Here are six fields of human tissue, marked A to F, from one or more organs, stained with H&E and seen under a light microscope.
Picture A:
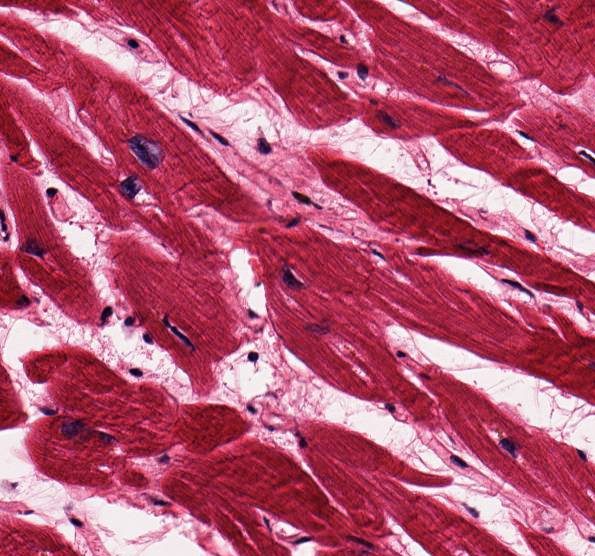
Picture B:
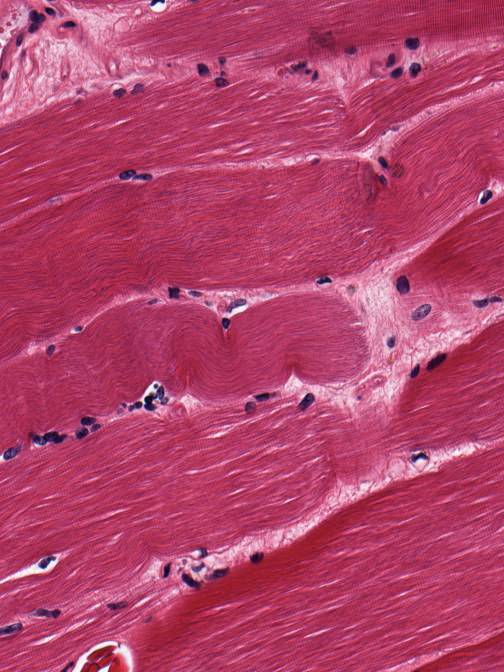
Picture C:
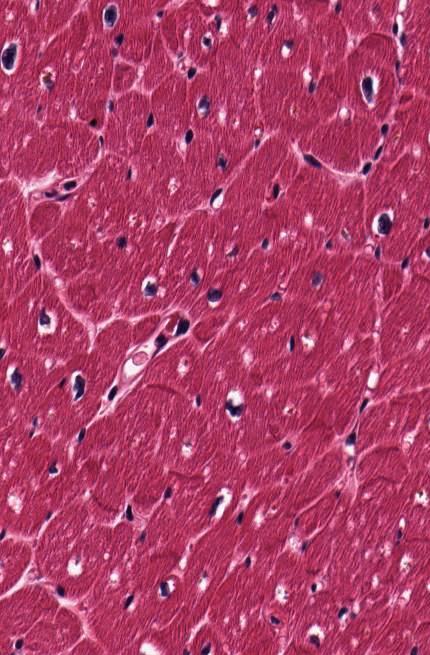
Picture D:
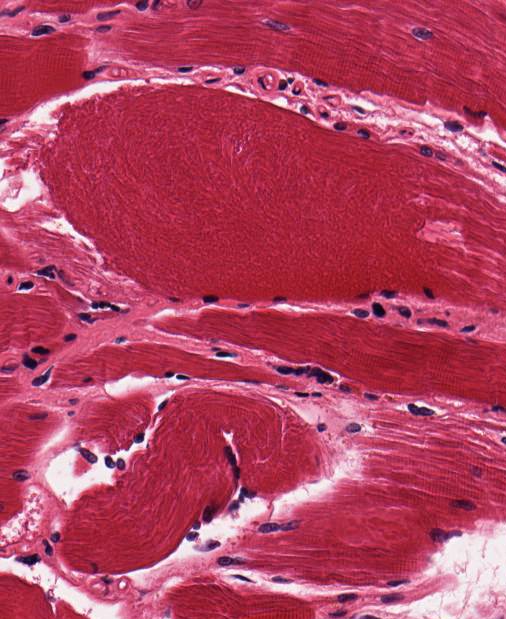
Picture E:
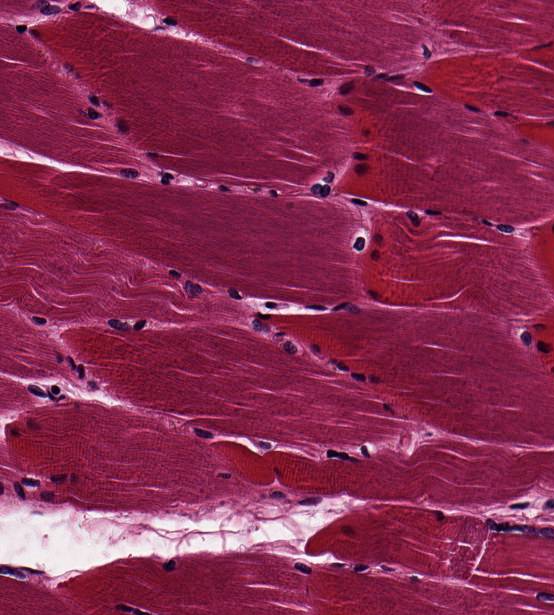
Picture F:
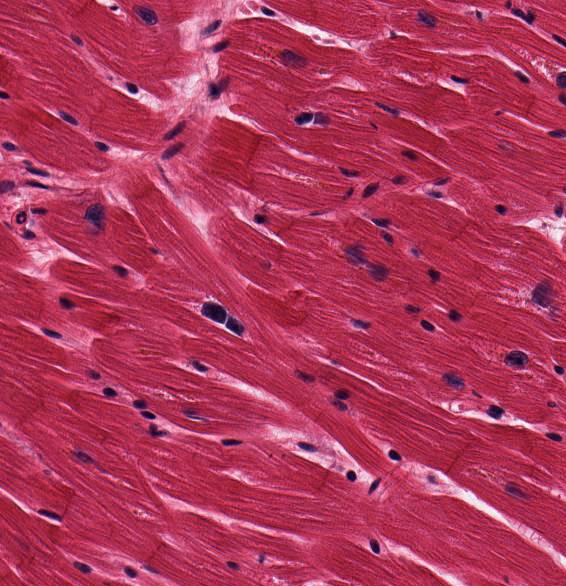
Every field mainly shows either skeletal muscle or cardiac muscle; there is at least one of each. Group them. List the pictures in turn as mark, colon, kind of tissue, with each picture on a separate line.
A: cardiac muscle
B: skeletal muscle
C: cardiac muscle
D: skeletal muscle
E: skeletal muscle
F: cardiac muscle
